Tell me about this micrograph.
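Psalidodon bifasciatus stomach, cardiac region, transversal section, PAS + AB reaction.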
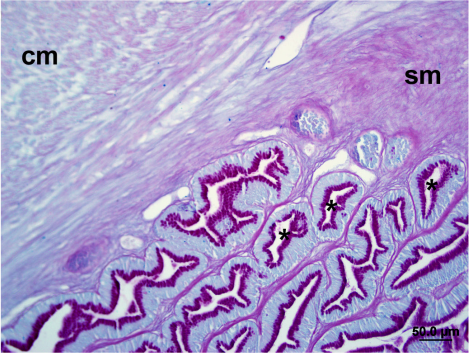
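The glands lie close together separated by thin strands of connective tissue. Above them the submucosa is pale lilac and fibrous, and the muscle layer in the corner shows fine, pale, regularly arranged fibres.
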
